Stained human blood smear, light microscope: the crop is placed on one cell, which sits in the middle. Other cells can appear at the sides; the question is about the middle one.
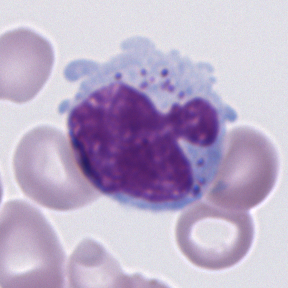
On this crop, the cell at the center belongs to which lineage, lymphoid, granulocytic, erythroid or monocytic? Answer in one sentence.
Lineage-wise, the central cell here belongs with the lymphoid series.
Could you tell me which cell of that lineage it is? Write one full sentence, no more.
Whatever else lies nearby, the middle cell is a large granular lymphocyte.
